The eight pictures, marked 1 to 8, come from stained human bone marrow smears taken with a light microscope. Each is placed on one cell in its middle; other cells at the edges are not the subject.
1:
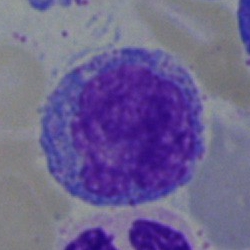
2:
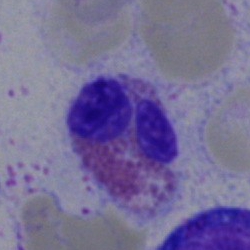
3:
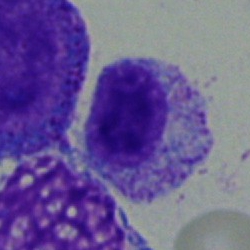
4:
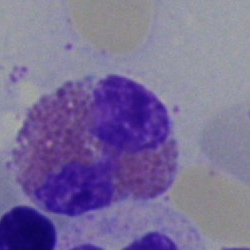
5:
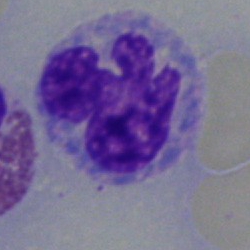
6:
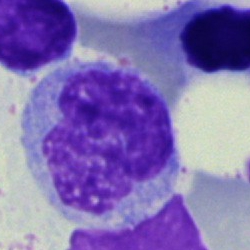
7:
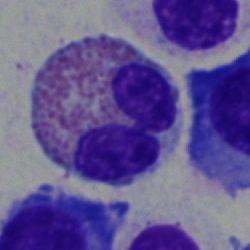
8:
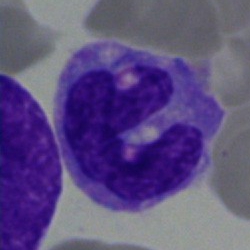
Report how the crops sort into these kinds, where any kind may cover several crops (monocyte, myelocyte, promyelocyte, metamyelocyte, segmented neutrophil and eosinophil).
1: monocyte
2: eosinophil
3: myelocyte
4: eosinophil
5: monocyte
6: monocyte
7: eosinophil
8: monocyte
